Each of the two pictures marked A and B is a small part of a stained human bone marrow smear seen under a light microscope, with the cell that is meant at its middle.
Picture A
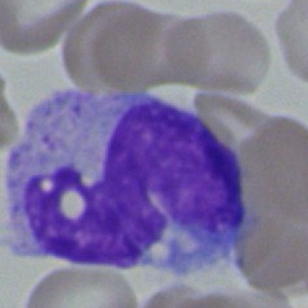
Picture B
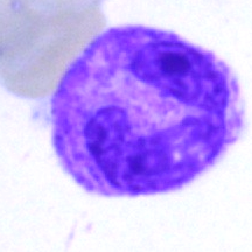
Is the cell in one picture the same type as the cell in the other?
no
